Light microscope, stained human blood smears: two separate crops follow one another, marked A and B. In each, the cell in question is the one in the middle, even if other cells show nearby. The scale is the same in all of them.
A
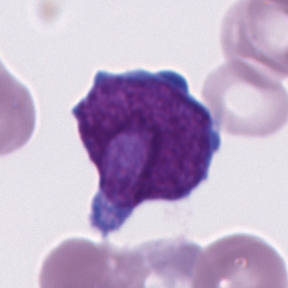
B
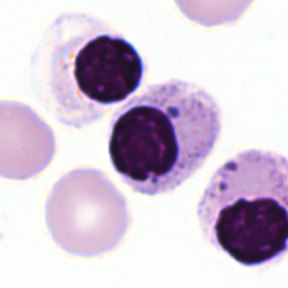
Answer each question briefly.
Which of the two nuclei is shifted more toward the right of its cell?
A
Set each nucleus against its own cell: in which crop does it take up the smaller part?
B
